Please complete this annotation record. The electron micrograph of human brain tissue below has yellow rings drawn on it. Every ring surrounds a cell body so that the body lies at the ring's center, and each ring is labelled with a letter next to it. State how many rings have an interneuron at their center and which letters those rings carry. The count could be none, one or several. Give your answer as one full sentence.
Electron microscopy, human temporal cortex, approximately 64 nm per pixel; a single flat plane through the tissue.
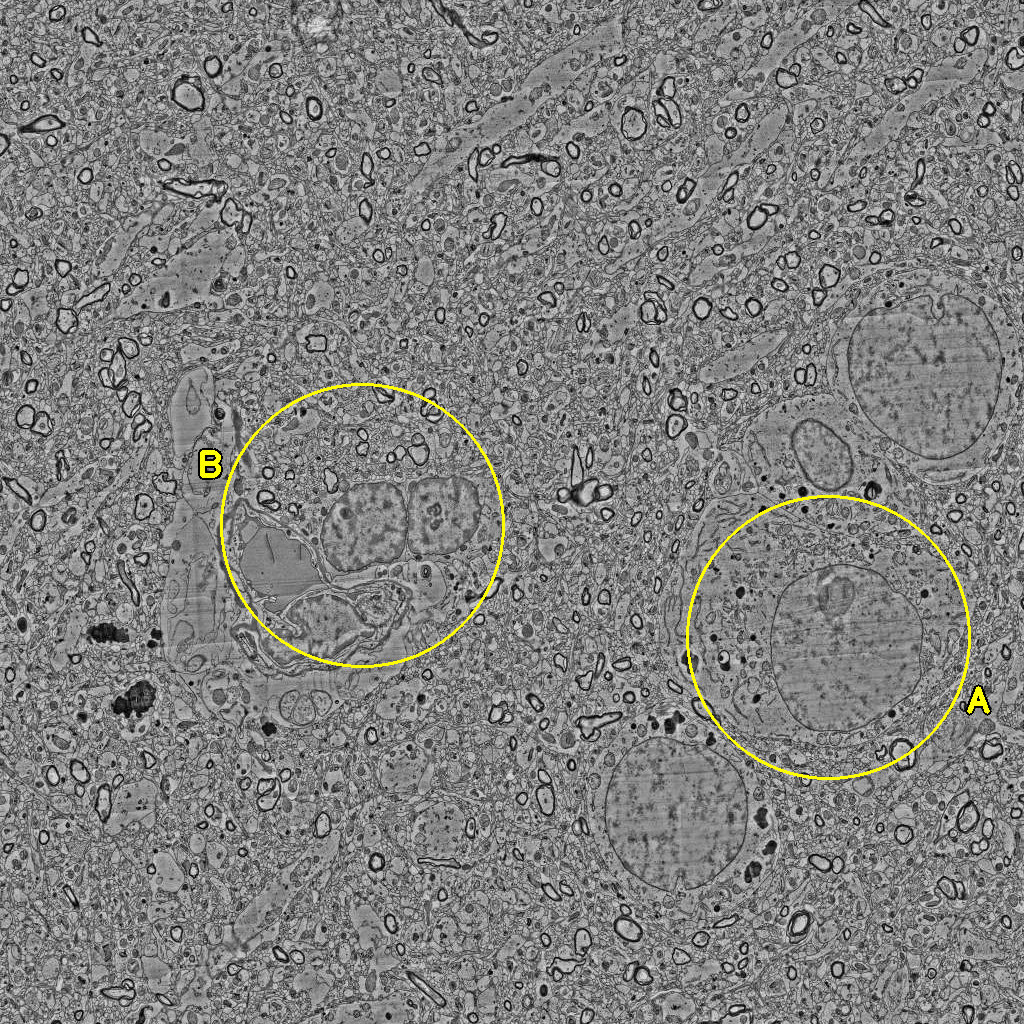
Since not one ring has an interneuron at its centre, the tally is zero.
